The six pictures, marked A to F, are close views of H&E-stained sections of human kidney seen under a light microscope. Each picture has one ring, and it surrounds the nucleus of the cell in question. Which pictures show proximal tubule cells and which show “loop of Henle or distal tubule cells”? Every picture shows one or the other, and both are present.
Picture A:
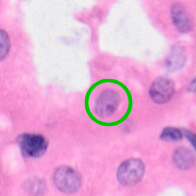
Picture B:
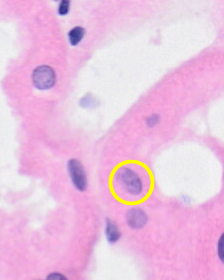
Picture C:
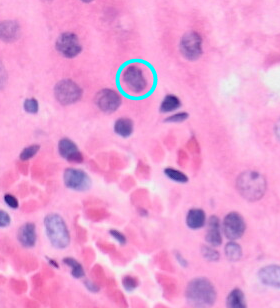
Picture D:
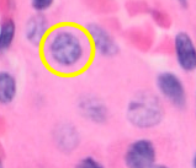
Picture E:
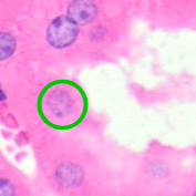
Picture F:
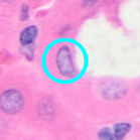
A: proximal tubule cell
B: proximal tubule cell
C: proximal tubule cell
D: loop of Henle or distal tubule cell
E: proximal tubule cell
F: loop of Henle or distal tubule cell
